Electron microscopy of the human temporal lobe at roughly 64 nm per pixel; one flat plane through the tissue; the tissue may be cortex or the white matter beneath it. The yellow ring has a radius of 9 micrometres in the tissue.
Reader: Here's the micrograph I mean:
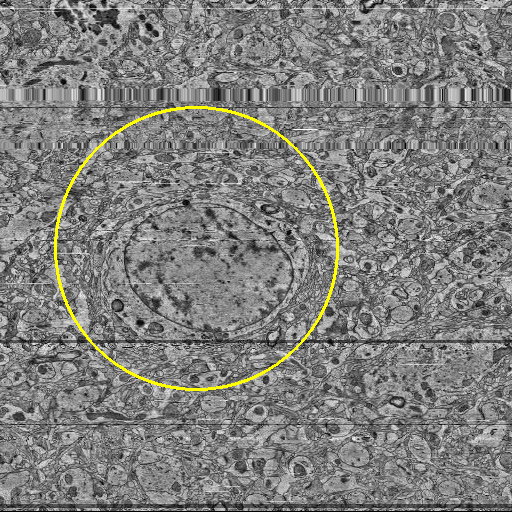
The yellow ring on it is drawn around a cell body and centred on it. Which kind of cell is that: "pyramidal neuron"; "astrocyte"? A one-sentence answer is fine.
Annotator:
The ring is centred on a pyramidal neuron.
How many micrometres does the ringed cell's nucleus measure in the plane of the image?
The nucleus appears roughly 11 by 8 micrometres in this plane.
